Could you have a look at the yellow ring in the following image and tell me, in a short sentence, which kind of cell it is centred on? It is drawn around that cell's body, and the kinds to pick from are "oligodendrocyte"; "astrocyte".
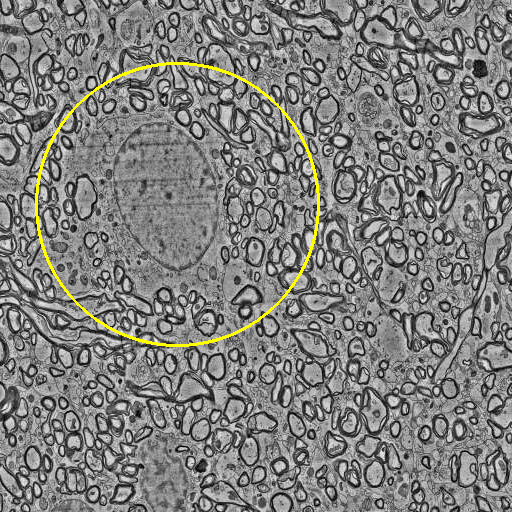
The ring is centred on the body of an astrocyte.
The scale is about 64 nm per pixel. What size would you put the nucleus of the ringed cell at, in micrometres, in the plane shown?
About 9 by 7 micrometers, in this plane.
